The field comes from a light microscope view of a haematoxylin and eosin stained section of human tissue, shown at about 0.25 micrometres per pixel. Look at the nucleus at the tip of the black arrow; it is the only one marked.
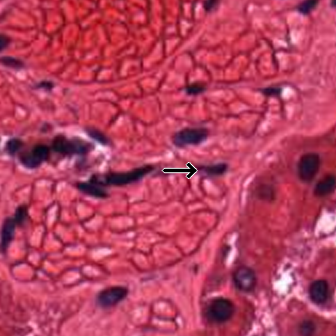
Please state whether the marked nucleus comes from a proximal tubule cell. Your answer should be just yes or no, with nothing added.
no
